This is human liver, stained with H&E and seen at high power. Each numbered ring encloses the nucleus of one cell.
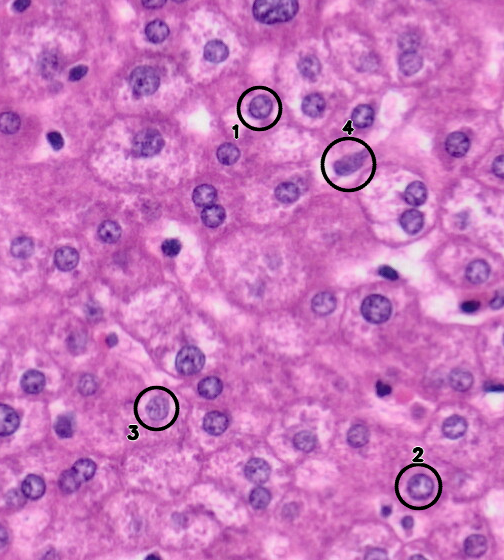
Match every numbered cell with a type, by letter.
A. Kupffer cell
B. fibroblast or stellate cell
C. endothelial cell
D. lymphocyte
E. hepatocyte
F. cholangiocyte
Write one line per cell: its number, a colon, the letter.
1: E
2: E
3: E
4: A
